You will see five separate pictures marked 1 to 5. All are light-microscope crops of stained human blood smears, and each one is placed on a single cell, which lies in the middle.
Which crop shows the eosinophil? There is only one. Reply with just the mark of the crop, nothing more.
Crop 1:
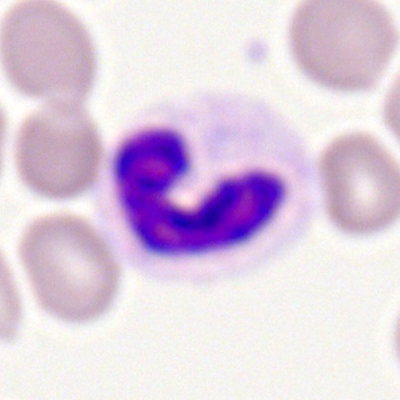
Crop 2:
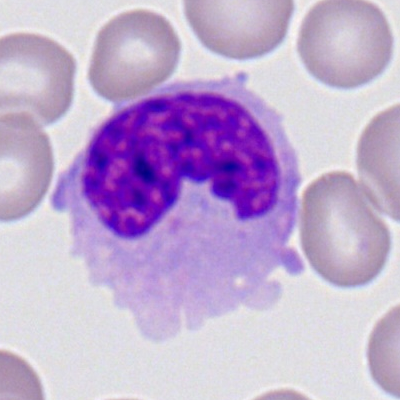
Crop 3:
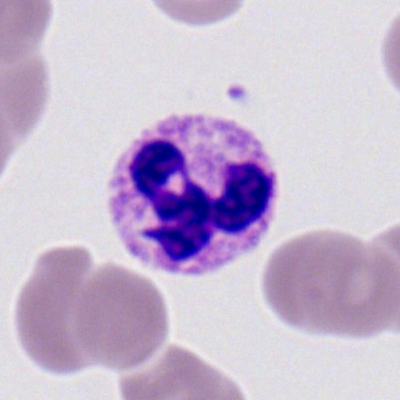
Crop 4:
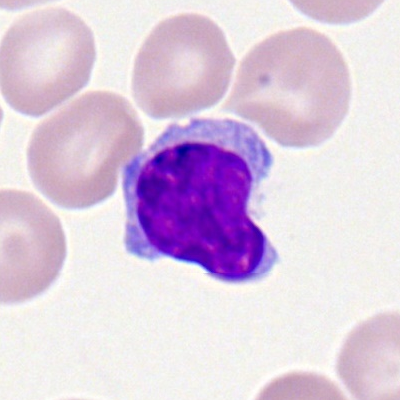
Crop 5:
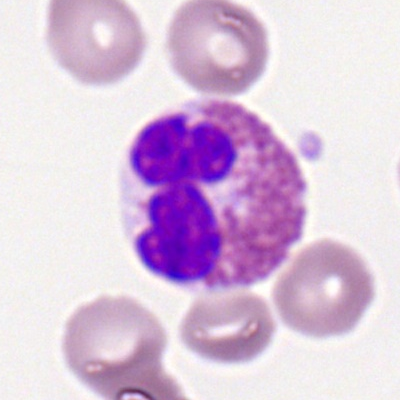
5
